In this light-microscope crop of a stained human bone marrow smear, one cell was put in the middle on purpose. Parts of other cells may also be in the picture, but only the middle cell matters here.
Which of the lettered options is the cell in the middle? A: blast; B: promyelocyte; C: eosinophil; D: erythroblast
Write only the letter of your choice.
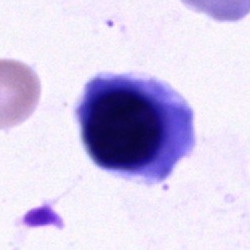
D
